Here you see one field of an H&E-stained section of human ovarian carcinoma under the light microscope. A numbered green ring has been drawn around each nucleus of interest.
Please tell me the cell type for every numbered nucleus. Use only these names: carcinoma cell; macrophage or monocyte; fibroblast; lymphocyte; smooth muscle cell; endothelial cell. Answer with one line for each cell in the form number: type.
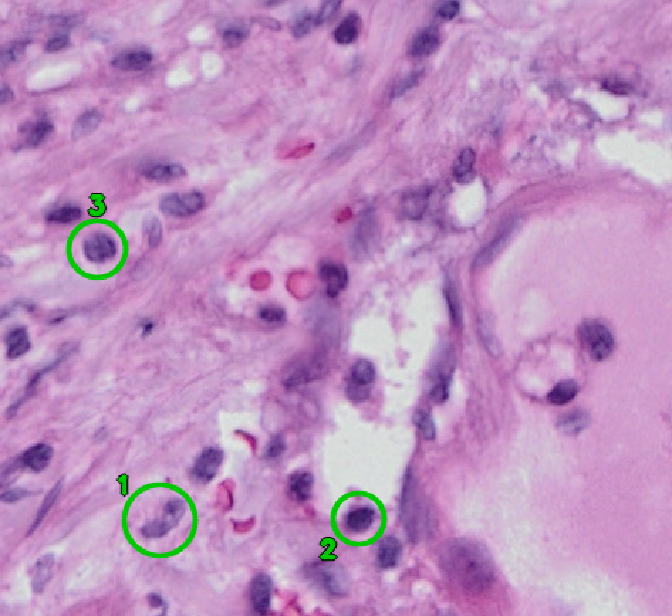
1: macrophage or monocyte
2: lymphocyte
3: lymphocyte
